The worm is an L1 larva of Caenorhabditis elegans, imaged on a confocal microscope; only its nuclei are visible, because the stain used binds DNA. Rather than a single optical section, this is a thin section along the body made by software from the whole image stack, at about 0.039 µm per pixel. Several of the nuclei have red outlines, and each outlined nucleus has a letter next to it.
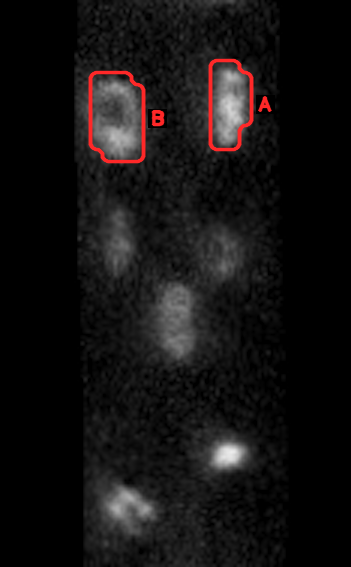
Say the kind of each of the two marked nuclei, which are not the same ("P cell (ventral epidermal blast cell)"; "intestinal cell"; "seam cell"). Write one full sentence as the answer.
One is from a P cell (ventral epidermal blast cell), namely A, and the other, B, is from a seam cell.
